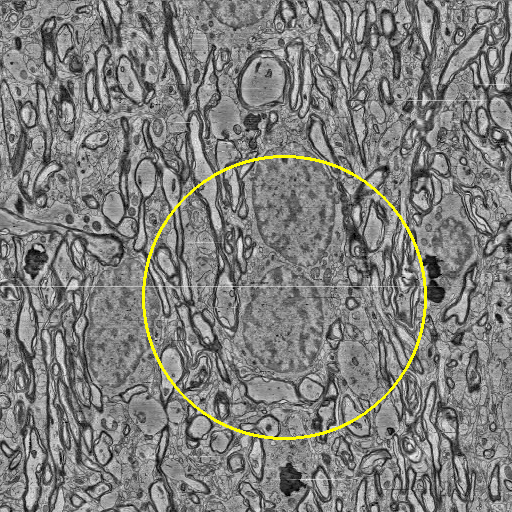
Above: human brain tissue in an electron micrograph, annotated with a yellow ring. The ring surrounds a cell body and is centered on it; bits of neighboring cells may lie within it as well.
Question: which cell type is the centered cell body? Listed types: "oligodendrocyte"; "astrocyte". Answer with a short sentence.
The centered cell body is an oligodendrocyte.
